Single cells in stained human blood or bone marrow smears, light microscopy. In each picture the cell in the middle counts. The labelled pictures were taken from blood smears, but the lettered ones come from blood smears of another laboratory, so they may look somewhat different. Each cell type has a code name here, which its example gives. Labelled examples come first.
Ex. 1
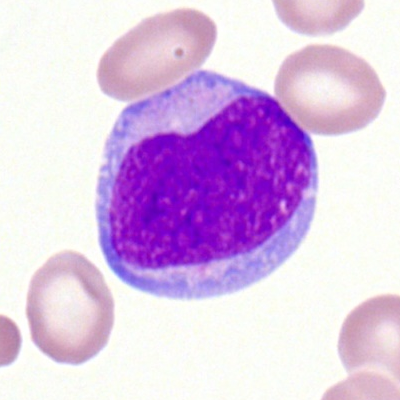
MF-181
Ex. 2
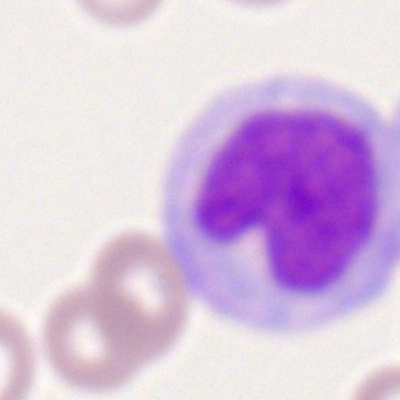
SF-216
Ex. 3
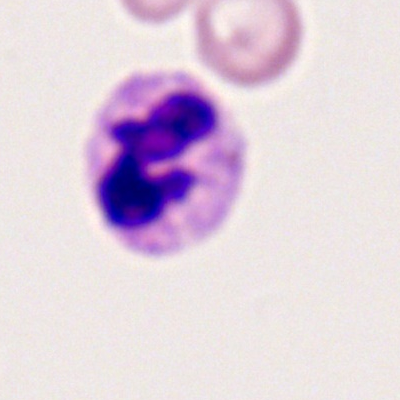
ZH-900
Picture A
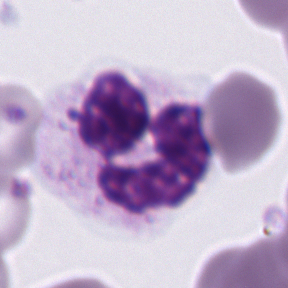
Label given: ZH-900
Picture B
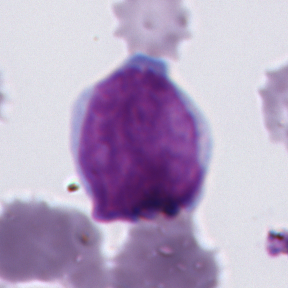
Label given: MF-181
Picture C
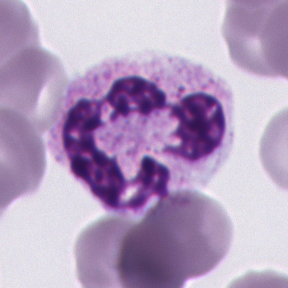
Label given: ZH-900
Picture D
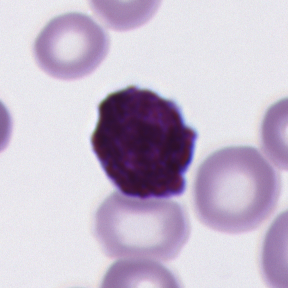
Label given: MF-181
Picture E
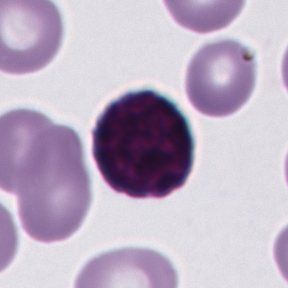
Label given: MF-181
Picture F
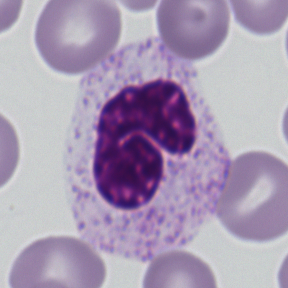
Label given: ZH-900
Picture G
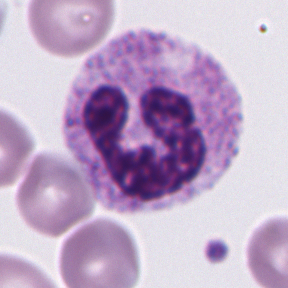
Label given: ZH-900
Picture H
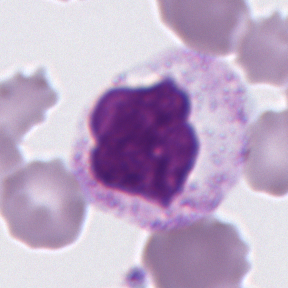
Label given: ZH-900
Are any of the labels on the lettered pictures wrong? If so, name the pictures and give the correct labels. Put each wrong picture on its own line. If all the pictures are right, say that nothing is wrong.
All labels are correct.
